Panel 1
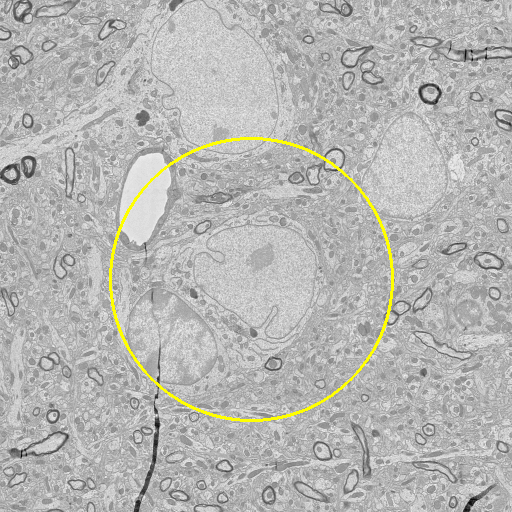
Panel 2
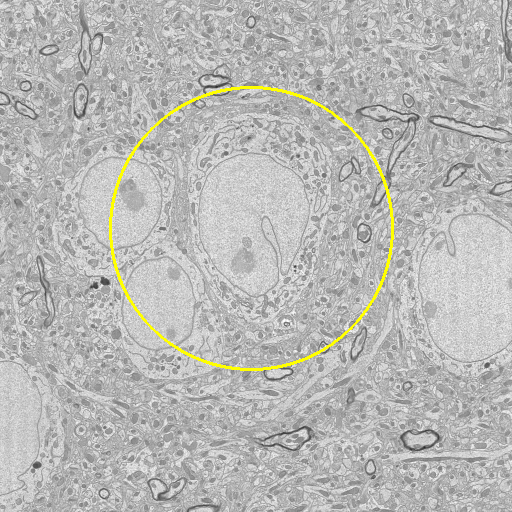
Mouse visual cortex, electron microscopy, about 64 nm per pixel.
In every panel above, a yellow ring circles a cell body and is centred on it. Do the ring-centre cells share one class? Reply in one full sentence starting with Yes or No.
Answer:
Yes, the two cells at the ring centres in the panels belong to one class.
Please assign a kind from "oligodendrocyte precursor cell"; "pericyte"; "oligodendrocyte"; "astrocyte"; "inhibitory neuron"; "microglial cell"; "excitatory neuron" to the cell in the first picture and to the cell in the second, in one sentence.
Both pictures show an inhibitory neuron at the centre of the ring.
